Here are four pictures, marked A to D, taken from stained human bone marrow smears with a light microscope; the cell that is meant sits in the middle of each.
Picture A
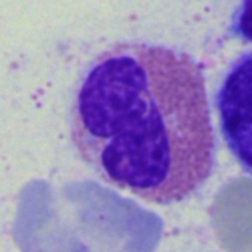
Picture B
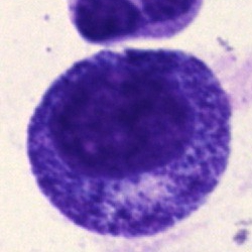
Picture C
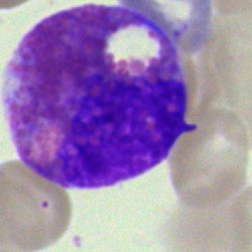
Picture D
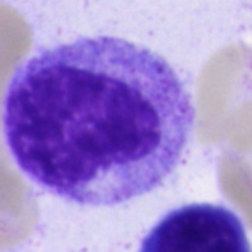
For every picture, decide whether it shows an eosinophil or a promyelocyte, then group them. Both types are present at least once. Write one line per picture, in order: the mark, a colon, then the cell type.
A: eosinophil
B: promyelocyte
C: eosinophil
D: promyelocyte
